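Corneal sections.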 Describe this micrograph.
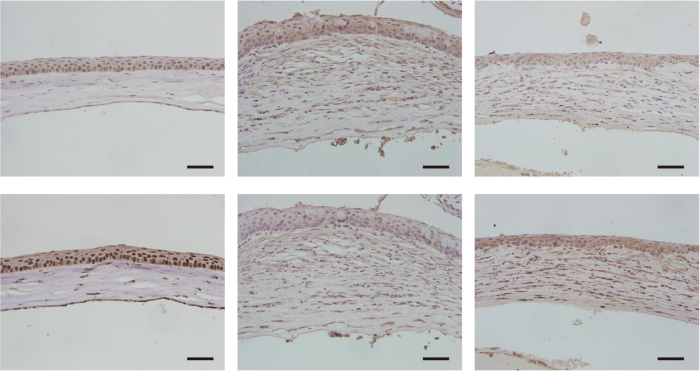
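Along the upper surface lies a stratified epithelium several cells thick, its cells packed tightly with rounded nuclei. Beneath it the stroma forms the bulk of the section, with flattened, spindle-shaped cells and their elongated nuclei lying parallel to the surface between pale layers of matrix. A thin cell layer lines the lower edge. In some sections the stroma is noticeably thicker and looser. The brown stain is strongest in the epithelial nuclei and cytoplasm in the bottom-left section, and fainter and more diffuse in the other sections.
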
